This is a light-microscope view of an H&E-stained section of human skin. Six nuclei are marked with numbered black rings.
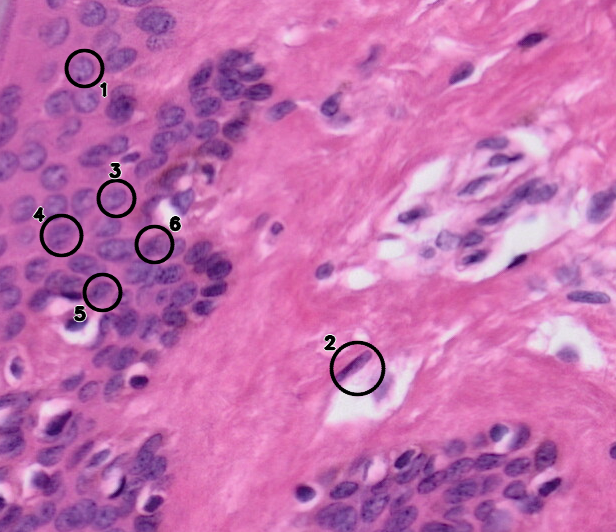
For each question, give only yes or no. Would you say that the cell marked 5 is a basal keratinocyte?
yes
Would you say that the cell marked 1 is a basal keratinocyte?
no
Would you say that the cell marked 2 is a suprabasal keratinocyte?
no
